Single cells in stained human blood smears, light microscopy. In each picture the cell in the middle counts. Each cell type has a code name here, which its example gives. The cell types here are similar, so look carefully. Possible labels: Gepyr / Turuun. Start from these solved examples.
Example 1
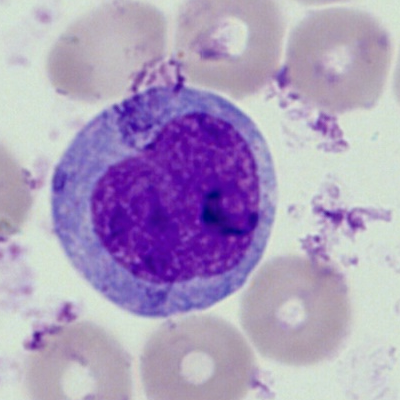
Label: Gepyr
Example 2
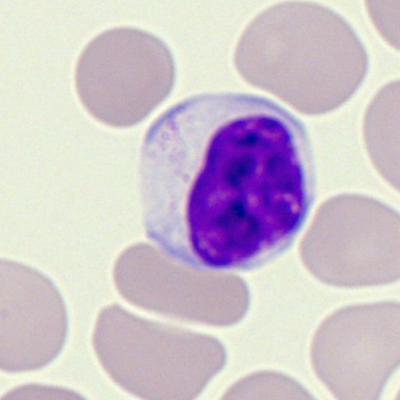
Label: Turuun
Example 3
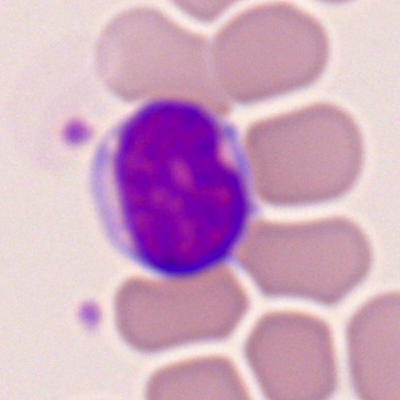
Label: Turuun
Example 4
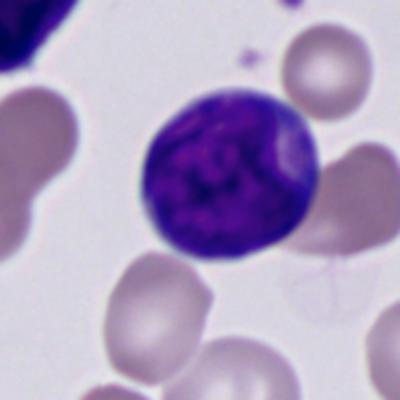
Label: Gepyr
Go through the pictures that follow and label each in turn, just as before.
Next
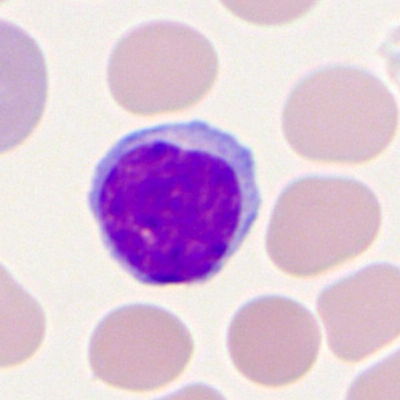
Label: Turuun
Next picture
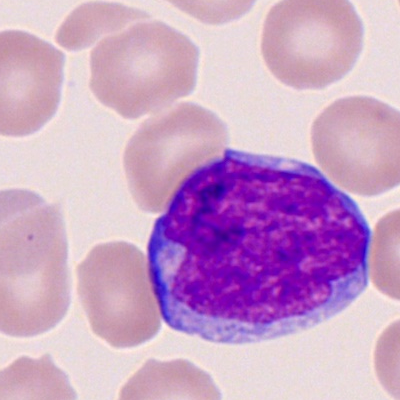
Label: Gepyr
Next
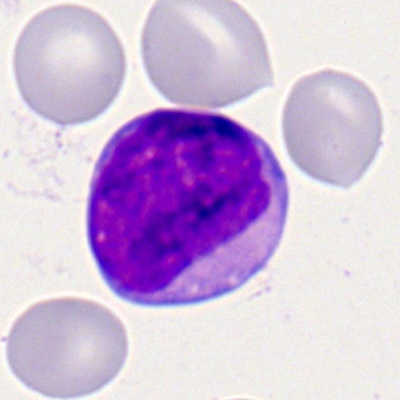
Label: Gepyr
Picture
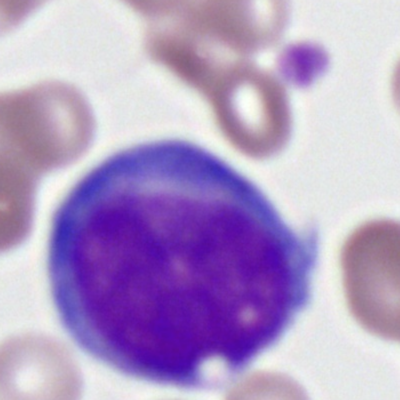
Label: Gepyr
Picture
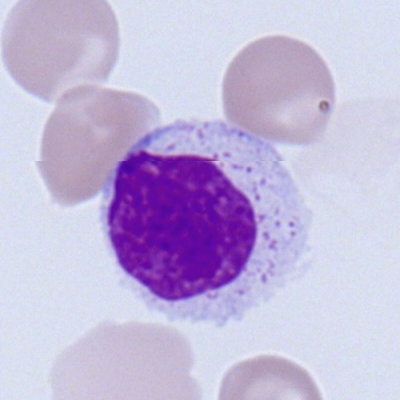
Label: Turuun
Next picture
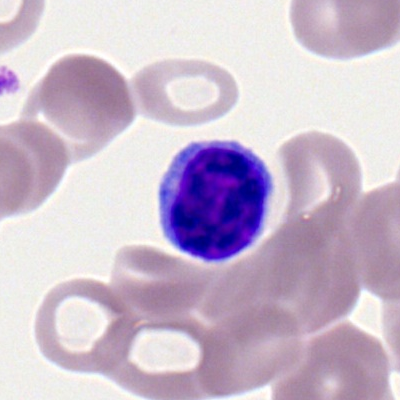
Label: Turuun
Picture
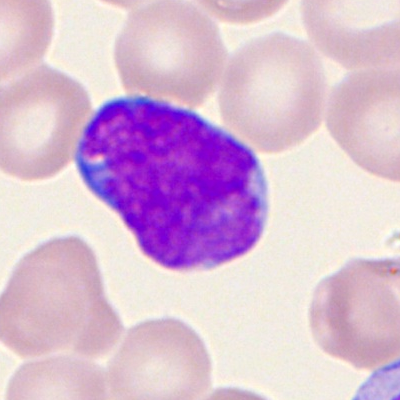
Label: Gepyr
